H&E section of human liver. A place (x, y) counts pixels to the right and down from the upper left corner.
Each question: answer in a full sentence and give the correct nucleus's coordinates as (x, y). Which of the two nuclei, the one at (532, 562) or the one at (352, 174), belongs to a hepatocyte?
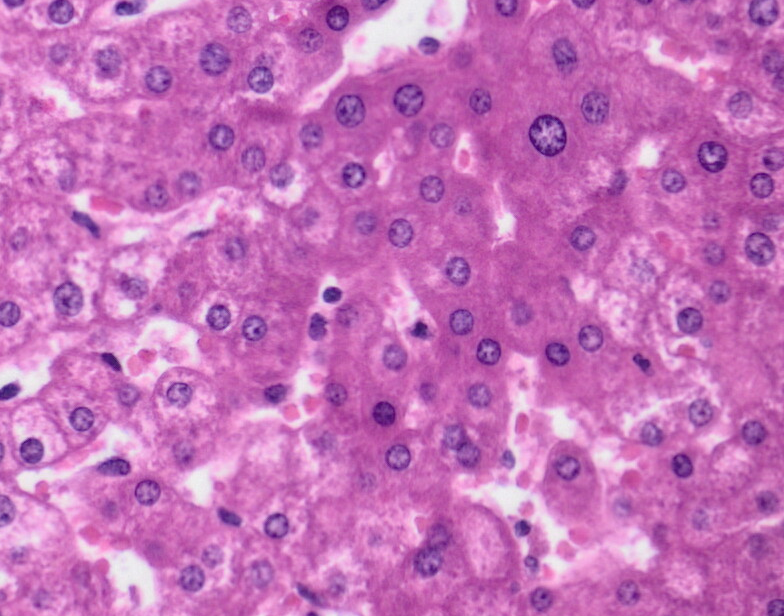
Located at (352, 174), this nucleus is the one belonging to a hepatocyte.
